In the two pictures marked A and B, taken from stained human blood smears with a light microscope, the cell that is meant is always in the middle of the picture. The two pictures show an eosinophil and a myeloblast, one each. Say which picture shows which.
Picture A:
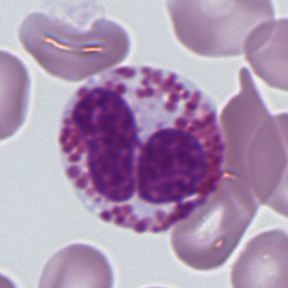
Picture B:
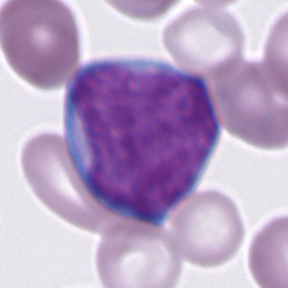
A: eosinophil
B: myeloblast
